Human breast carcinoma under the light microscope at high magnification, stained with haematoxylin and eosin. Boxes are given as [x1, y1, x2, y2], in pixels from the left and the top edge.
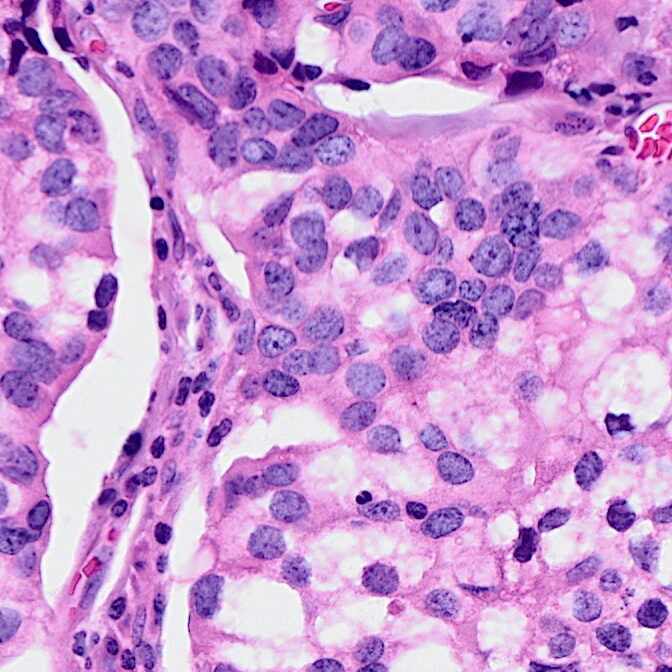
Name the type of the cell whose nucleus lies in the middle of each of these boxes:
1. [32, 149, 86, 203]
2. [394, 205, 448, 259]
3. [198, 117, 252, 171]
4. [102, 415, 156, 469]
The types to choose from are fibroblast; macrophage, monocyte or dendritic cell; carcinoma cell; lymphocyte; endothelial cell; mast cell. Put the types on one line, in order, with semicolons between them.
carcinoma cell; carcinoma cell; carcinoma cell; lymphocyte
